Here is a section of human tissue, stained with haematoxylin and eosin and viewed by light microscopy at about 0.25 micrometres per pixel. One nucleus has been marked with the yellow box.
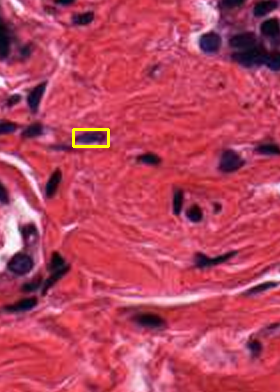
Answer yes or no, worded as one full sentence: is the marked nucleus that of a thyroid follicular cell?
No, belonging to a supporting cell, the marked nucleus is not part of a thyroid follicular cell.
